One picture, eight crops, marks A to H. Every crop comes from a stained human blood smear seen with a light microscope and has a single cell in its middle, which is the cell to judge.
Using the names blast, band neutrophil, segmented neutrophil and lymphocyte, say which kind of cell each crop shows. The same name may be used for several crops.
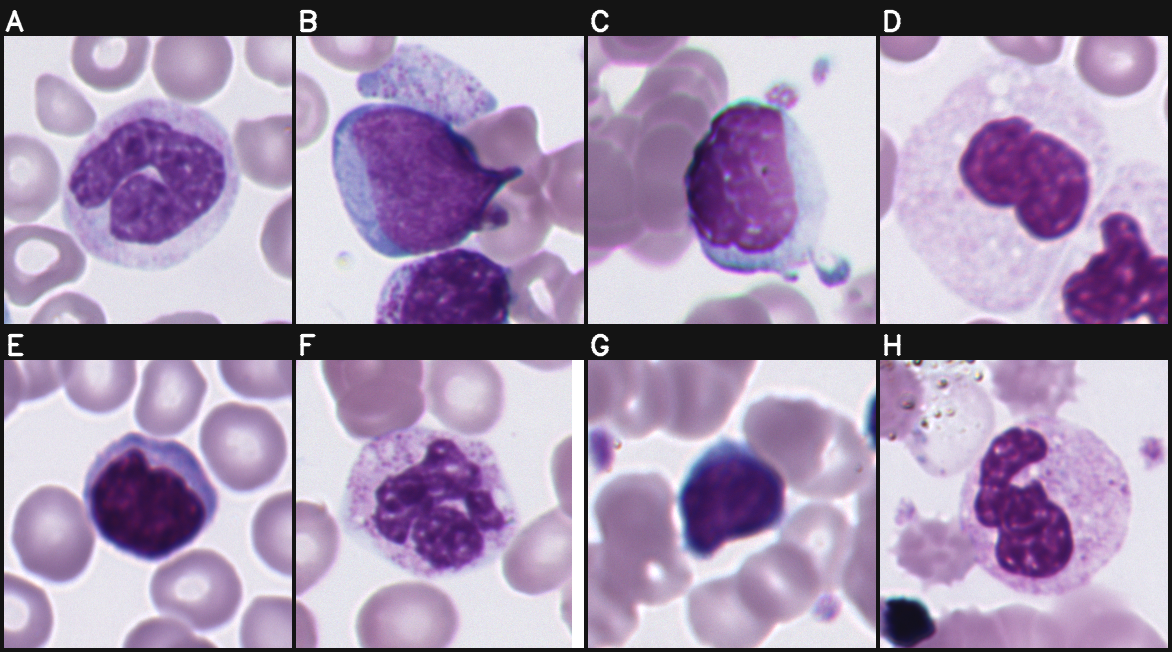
A: band neutrophil
B: blast
C: lymphocyte
D: segmented neutrophil
E: lymphocyte
F: segmented neutrophil
G: lymphocyte
H: segmented neutrophil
